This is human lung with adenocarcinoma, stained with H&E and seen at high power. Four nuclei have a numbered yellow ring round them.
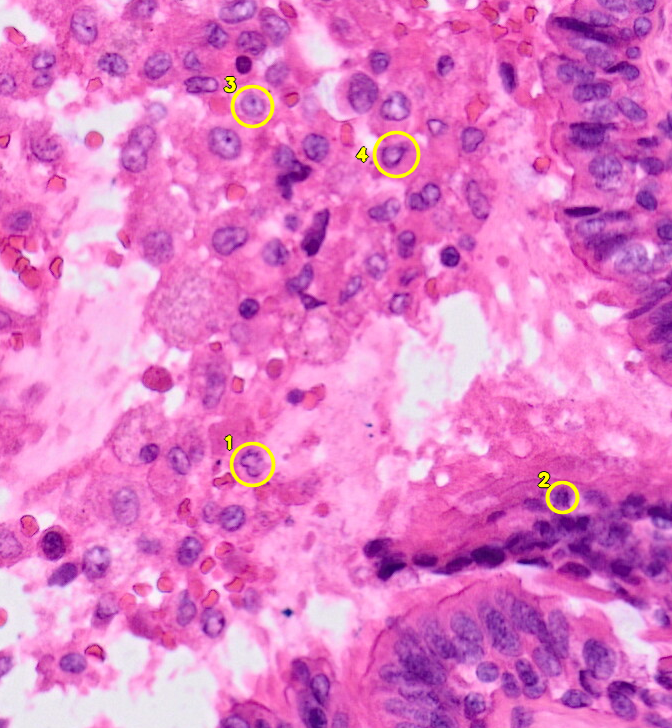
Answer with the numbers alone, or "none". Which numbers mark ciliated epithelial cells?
2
